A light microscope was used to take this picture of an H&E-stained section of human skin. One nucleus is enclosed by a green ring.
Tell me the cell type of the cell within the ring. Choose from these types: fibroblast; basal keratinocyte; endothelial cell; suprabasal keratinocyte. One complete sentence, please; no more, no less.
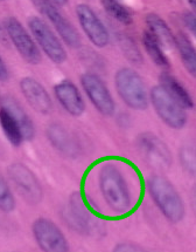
The cell type of the cell within the ring is that of a suprabasal keratinocyte.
